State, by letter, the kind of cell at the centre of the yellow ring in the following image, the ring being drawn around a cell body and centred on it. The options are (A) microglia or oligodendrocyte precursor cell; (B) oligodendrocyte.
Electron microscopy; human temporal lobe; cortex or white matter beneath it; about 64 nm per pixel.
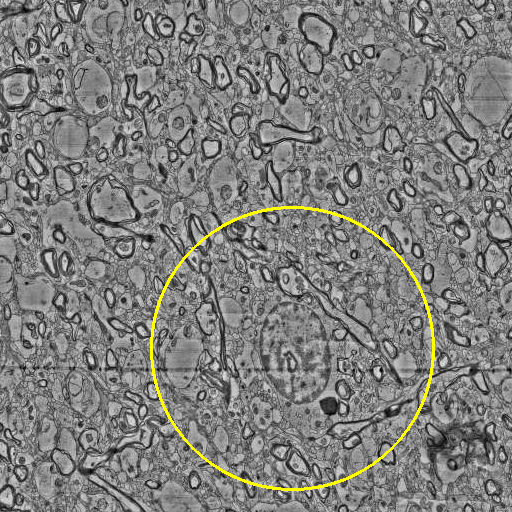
B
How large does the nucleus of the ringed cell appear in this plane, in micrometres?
The nucleus comes to approximately 7 by 4 micrometres and is clearly longer than it is wide in this plane.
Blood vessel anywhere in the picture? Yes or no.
No, no blood vessel can be seen.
